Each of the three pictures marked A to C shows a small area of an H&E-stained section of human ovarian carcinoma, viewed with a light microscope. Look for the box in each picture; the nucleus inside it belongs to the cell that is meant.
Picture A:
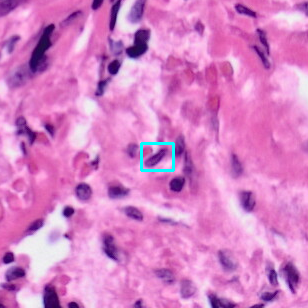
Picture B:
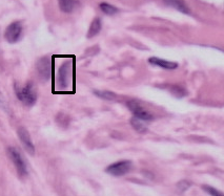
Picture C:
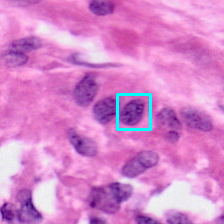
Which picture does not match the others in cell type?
C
